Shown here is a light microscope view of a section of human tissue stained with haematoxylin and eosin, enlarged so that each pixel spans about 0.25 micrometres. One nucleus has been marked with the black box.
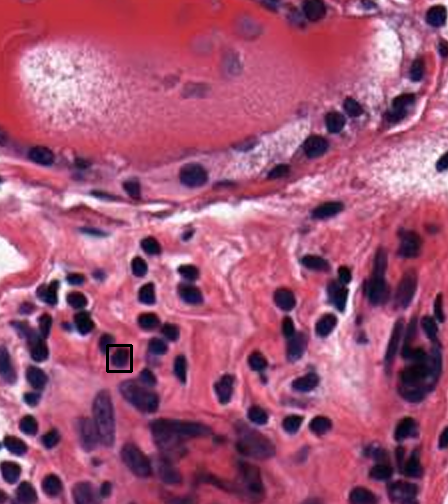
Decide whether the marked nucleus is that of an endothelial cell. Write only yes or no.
no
